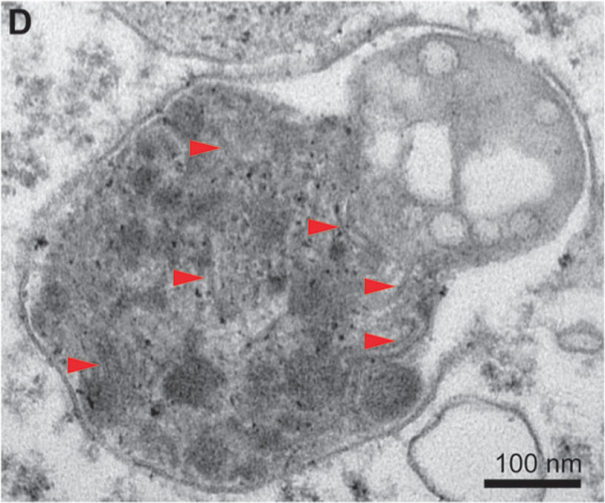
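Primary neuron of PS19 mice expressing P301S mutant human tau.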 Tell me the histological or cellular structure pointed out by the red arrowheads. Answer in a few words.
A: filamentous inclusions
